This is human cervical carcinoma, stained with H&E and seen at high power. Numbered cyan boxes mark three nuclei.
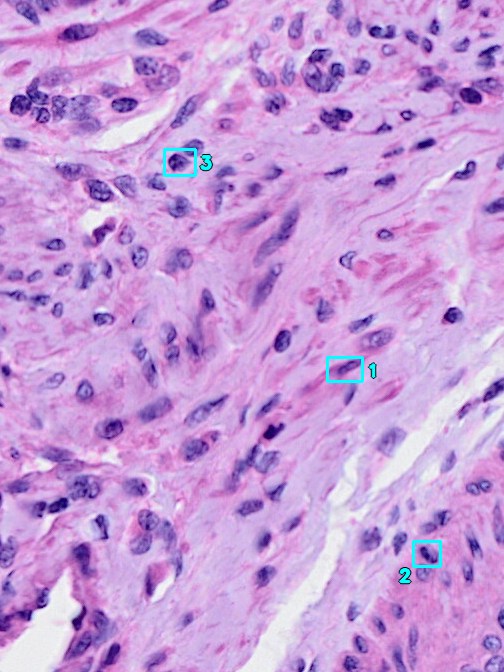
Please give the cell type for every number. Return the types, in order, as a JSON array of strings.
["smooth muscle cell", "smooth muscle cell", "lymphocyte"]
